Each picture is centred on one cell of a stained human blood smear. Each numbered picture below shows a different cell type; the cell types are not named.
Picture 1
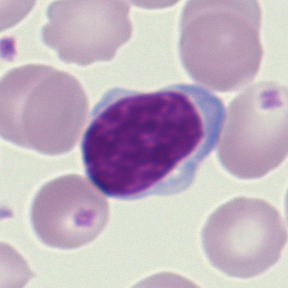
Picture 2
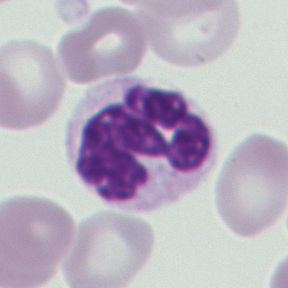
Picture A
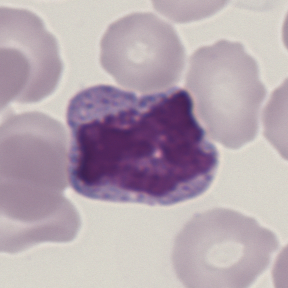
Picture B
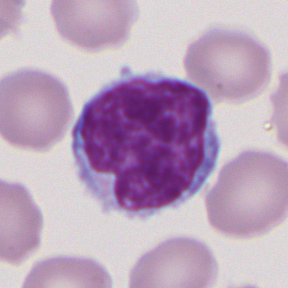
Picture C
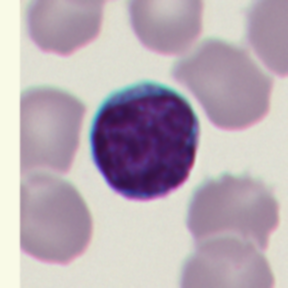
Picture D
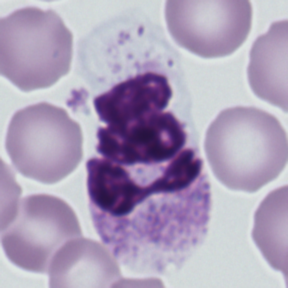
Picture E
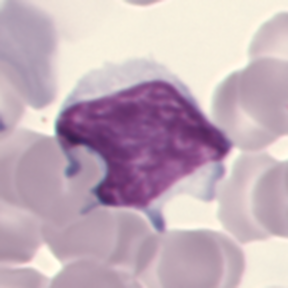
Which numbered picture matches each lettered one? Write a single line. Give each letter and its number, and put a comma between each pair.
A 1, B 1, C 1, D 2, E 1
